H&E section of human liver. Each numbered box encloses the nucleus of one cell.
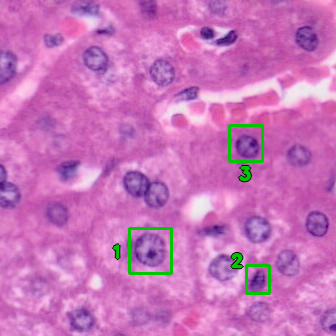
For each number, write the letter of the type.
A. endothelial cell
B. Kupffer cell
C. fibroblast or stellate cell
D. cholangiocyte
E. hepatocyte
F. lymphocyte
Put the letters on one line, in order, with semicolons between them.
E; C; E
